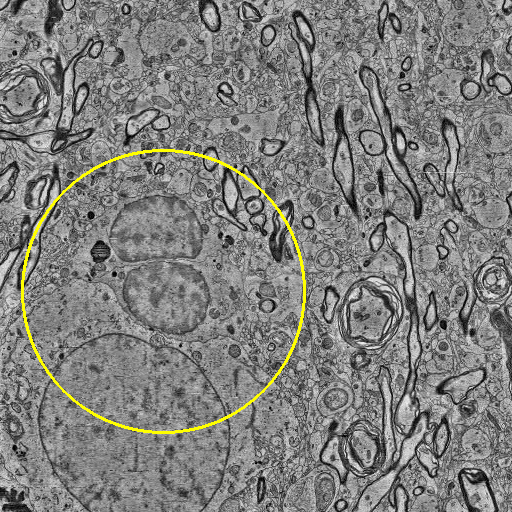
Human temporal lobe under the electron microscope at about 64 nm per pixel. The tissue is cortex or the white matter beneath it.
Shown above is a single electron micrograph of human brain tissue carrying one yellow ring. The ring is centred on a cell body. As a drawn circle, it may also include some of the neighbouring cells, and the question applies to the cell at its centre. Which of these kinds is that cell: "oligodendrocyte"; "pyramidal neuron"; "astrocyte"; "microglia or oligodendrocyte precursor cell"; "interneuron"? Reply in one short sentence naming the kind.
The cell marked by the ring is an oligodendrocyte.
